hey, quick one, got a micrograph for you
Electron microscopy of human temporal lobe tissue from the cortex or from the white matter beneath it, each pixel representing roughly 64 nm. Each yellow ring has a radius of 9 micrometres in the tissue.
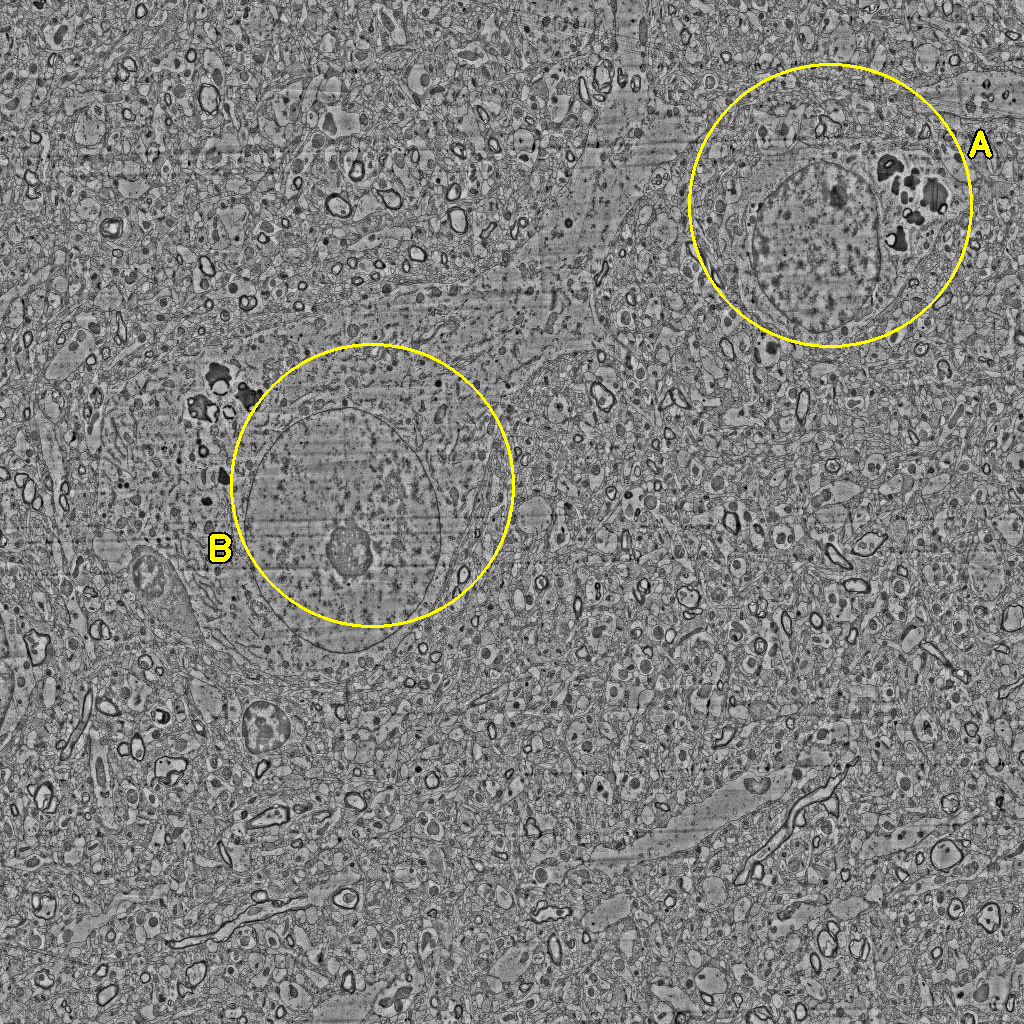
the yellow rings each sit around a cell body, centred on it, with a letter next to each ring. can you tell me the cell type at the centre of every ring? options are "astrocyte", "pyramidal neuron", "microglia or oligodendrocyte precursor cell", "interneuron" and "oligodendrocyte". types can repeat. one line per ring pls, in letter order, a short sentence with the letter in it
Ring A goes around an interneuron.
Ring B goes around a pyramidal neuron.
